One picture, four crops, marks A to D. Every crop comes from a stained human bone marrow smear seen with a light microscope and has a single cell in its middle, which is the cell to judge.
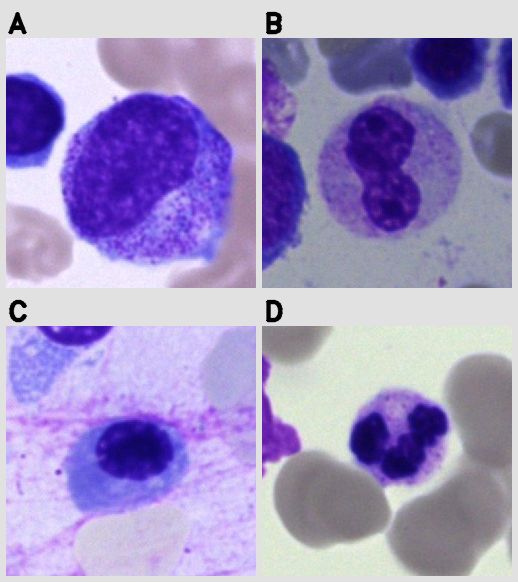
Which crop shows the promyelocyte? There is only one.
A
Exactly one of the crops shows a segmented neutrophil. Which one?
D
